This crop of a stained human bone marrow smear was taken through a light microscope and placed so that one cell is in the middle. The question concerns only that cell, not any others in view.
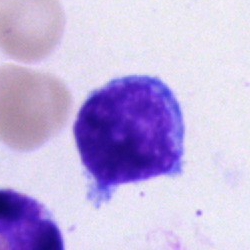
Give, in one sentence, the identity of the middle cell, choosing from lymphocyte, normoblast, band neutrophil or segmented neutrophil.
The cell in the middle of this crop is a lymphocyte.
